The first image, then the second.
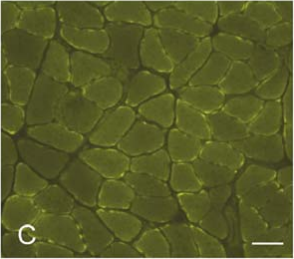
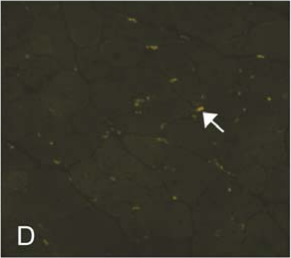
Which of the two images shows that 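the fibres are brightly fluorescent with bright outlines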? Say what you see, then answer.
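Second image: fibres are dark with only faint outlines and scattered bright dots. First image: fibres glow yellow-green with bright rims at their borders. On this evidence: the first image.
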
